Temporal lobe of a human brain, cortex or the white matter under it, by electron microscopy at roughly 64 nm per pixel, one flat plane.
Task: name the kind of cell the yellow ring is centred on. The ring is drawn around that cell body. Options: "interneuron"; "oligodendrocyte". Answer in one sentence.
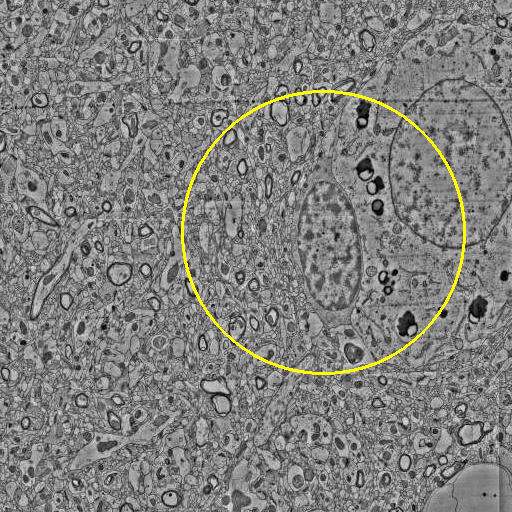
This cell body belongs to an oligodendrocyte.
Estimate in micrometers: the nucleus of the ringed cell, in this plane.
The ringed cell's nucleus is roughly 8 by 4 micrometres and clearly longer than it is wide in this plane.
